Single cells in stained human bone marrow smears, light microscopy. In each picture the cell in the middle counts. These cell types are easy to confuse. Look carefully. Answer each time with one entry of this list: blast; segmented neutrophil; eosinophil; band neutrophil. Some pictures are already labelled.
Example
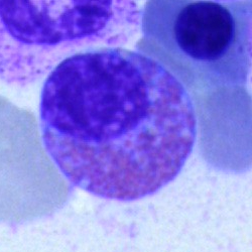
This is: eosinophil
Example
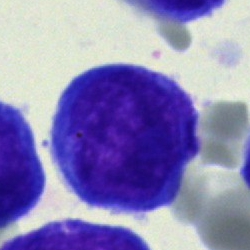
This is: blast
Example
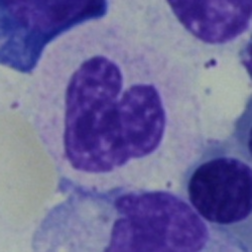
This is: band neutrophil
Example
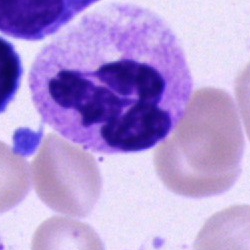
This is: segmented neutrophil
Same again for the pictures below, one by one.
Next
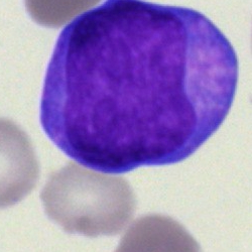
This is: blast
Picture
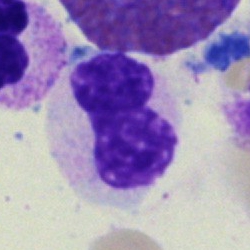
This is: band neutrophil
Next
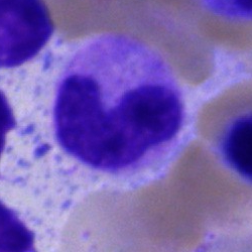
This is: band neutrophil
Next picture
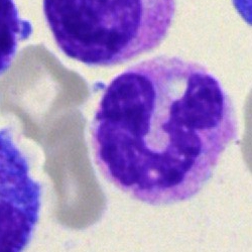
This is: band neutrophil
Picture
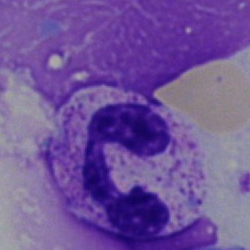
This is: segmented neutrophil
